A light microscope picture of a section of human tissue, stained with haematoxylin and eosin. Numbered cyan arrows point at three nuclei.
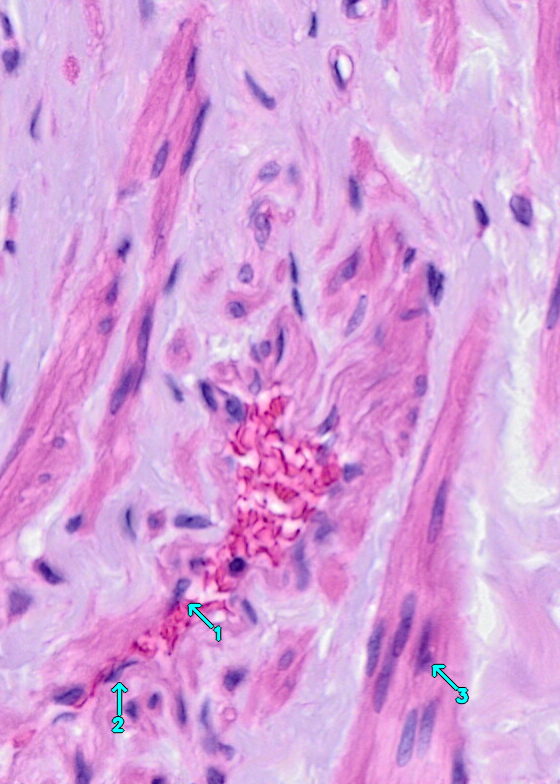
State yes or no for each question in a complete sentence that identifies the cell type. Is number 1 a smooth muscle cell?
No, the cell at marker 1 is not a smooth muscle cell; it is an endothelial cell.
